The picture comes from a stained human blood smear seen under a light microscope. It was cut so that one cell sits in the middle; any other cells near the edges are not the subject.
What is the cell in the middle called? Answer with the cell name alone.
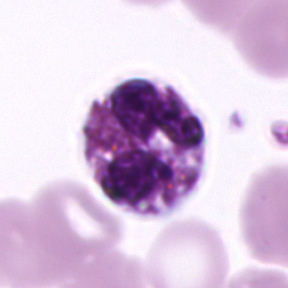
eosinophil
